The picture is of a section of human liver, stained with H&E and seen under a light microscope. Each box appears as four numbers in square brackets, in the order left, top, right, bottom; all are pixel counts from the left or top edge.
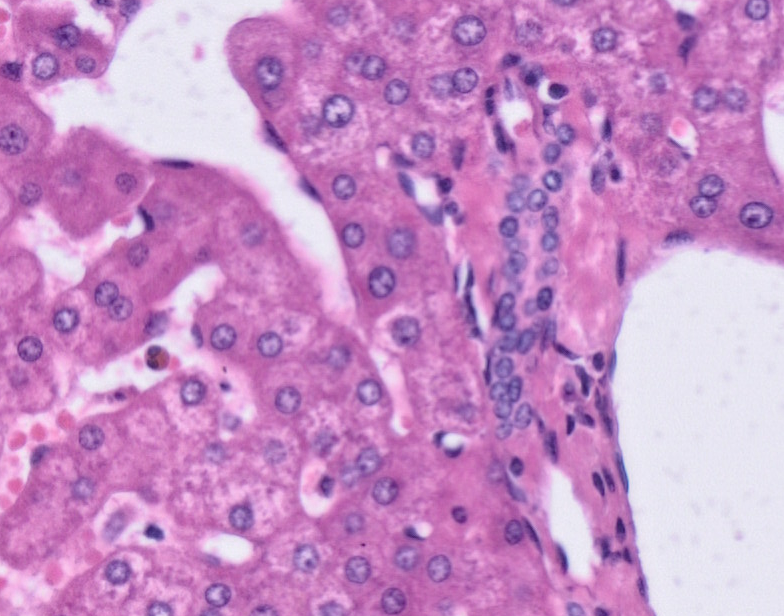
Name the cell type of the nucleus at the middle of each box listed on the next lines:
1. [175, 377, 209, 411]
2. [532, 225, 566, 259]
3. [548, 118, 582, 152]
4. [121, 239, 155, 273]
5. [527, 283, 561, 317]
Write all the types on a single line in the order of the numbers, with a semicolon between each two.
hepatocyte; cholangiocyte; cholangiocyte; hepatocyte; cholangiocyte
